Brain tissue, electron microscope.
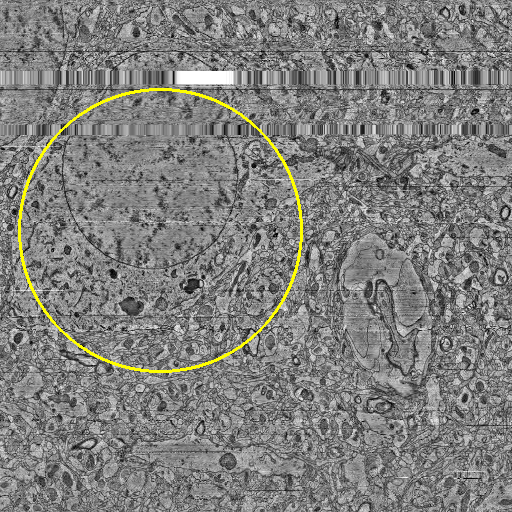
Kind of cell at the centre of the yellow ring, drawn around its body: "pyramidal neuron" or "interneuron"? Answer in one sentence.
The ring's centre falls on a pyramidal neuron.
